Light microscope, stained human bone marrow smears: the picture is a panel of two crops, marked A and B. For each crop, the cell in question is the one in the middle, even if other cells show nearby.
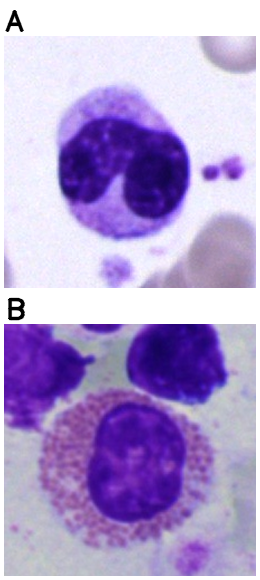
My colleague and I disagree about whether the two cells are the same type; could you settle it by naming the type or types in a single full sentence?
No, crop A matches a band neutrophil and crop B matches an eosinophil.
